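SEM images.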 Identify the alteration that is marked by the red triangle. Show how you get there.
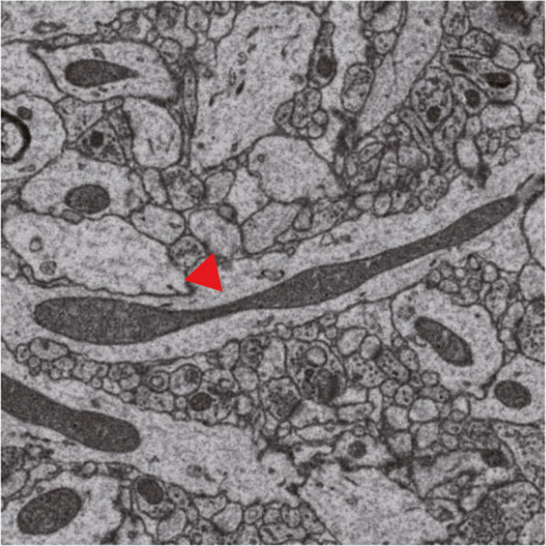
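Constriction in a mitochondrion. A long electron-dense organelle runs diagonally through a pale process. The organelle is wide at its left end and becomes markedly narrower where the red triangle points.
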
